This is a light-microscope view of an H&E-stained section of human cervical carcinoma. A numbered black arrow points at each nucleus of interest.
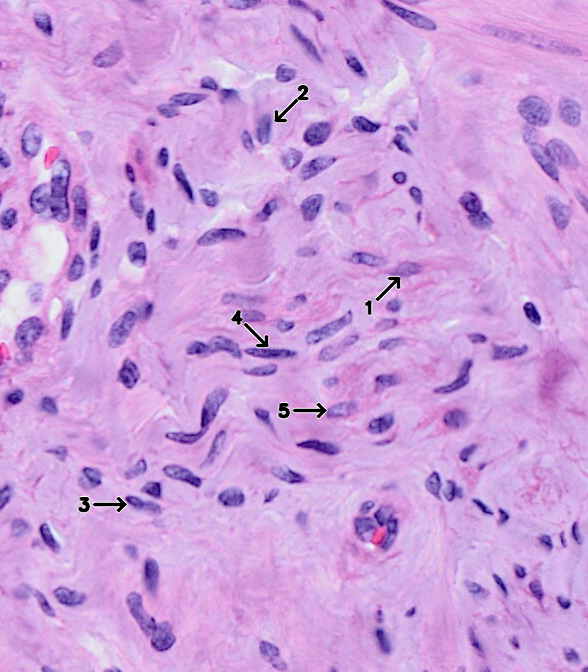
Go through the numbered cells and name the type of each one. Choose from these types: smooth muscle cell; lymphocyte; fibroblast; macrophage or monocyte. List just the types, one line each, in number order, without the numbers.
smooth muscle cell
fibroblast
fibroblast
fibroblast
smooth muscle cell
